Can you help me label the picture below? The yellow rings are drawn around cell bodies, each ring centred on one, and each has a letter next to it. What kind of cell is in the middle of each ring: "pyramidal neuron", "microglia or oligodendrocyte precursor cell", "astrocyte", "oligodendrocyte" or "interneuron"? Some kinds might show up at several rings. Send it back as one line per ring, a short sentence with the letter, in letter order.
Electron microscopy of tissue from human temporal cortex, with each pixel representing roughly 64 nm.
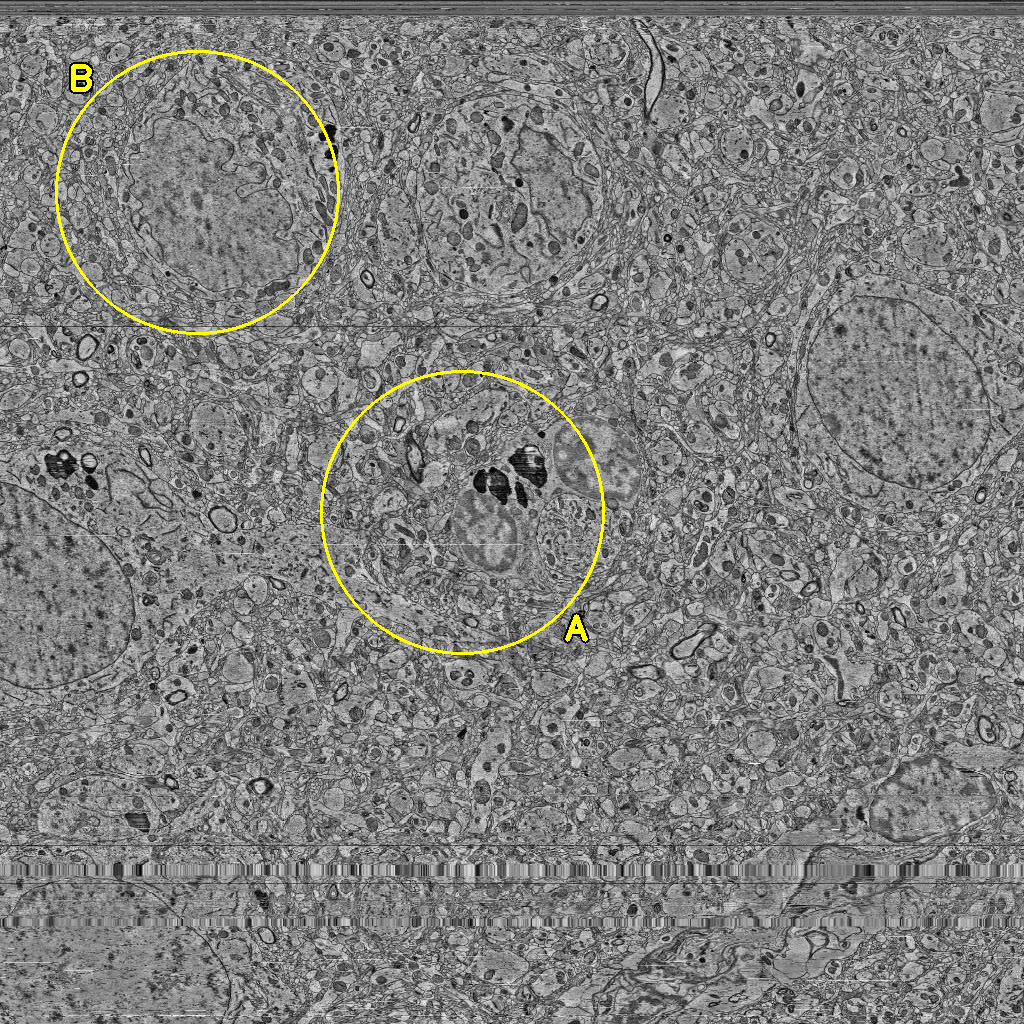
Ring A has an oligodendrocyte in the middle.
Ring B has an interneuron in the middle.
